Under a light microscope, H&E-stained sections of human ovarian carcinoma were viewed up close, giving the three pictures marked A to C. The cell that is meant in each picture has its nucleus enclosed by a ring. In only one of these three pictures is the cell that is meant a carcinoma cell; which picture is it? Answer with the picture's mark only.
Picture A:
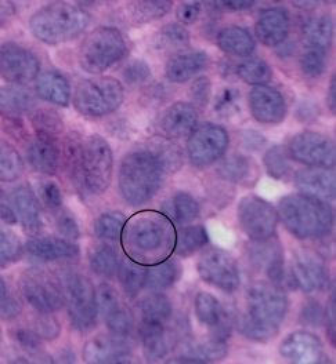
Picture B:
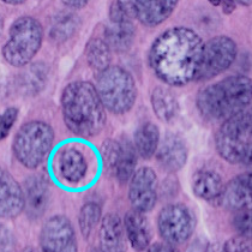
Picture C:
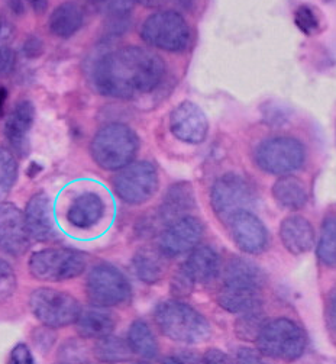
A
